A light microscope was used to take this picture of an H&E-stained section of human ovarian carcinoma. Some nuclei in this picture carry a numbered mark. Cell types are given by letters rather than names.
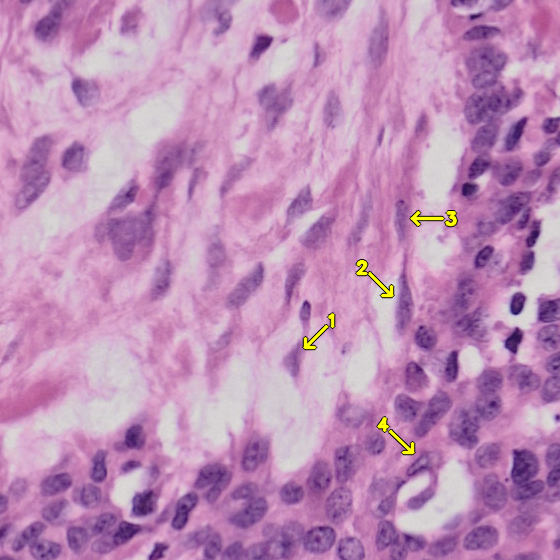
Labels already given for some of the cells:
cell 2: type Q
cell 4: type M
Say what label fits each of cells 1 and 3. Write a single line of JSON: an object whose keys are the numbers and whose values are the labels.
{"1": "type Q", "3": "type Q"}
